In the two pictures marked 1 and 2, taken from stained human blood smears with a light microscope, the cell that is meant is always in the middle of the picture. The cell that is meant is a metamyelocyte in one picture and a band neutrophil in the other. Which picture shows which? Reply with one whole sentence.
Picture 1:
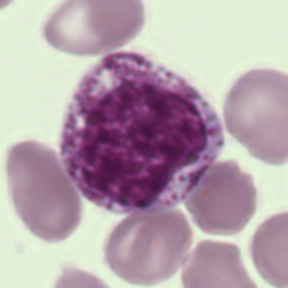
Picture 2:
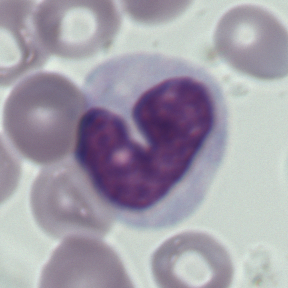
In picture 1 the cell is a metamyelocyte; in picture 2, a band neutrophil.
